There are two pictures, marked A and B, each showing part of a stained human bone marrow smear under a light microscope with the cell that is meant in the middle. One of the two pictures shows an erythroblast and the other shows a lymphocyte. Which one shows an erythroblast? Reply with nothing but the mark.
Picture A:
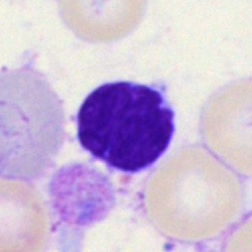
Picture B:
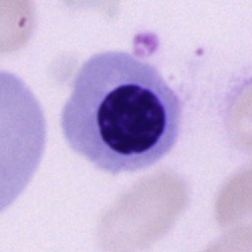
B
